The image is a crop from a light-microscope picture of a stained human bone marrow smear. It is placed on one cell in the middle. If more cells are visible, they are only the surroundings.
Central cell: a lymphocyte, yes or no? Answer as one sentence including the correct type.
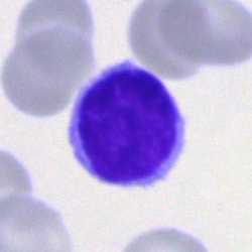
Yes, the cell positioned at the centre of the crop is a lymphocyte.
